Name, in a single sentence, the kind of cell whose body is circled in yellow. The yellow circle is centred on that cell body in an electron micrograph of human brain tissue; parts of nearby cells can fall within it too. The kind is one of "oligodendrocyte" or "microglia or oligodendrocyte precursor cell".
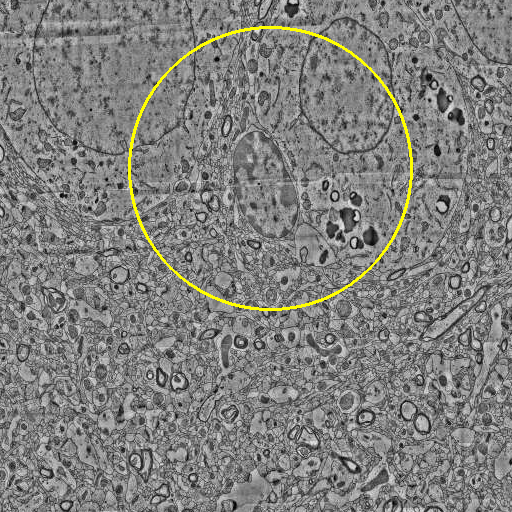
The circled cell body belongs to a microglial cell or oligodendrocyte precursor cell.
